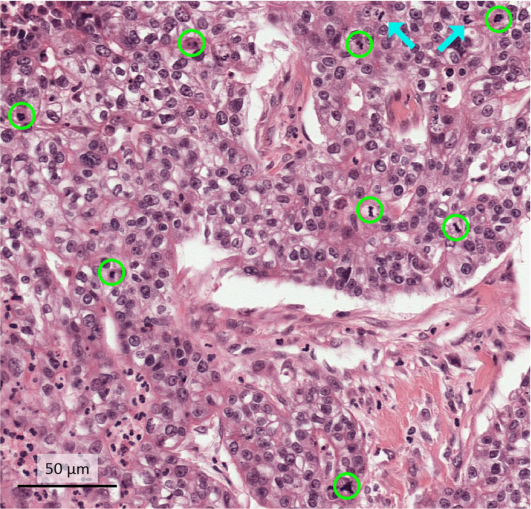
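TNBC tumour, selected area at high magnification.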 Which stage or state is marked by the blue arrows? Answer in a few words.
Mitotic figures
